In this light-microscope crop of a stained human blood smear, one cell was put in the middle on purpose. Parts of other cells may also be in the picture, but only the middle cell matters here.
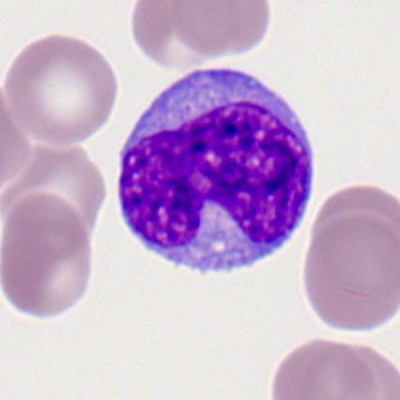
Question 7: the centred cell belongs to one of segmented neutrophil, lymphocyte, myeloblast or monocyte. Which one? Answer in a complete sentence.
By type, the central cell of the crop is a monocyte.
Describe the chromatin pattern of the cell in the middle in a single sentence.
Chromatin in the nucleus here is coarsely clumped.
